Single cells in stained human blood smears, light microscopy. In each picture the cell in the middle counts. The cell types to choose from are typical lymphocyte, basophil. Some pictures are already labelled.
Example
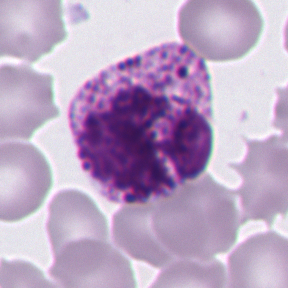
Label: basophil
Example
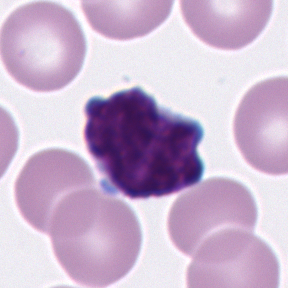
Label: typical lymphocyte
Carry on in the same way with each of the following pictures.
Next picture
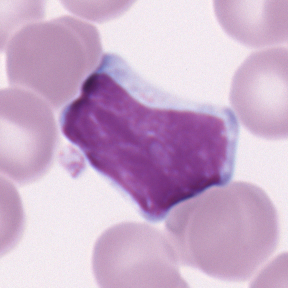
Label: typical lymphocyte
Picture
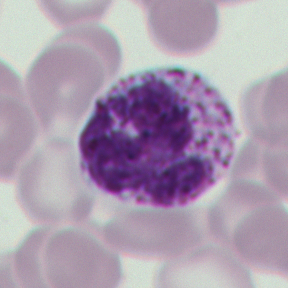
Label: basophil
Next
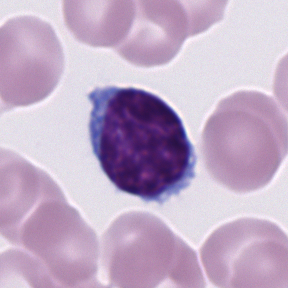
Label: typical lymphocyte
